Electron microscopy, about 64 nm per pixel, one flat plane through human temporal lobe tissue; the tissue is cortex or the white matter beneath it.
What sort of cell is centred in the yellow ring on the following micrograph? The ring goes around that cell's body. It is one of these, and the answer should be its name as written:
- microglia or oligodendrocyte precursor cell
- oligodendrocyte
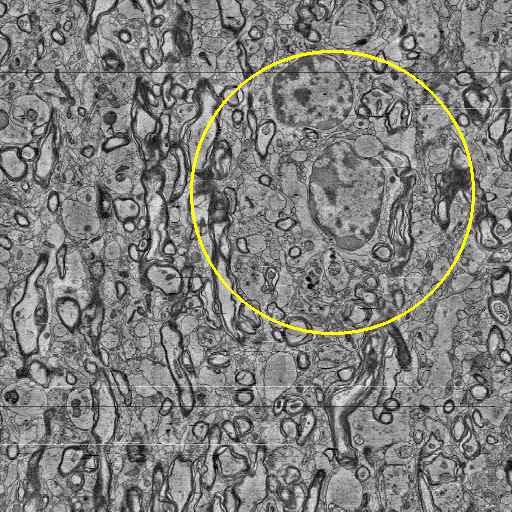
microglia or oligodendrocyte precursor cell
